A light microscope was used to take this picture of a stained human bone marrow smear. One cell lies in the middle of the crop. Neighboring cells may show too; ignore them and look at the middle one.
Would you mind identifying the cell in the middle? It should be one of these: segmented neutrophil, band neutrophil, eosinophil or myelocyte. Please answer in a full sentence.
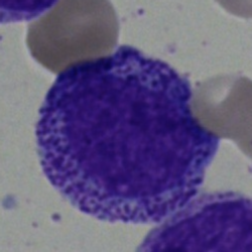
Whatever else lies nearby, the middle cell is a myelocyte.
